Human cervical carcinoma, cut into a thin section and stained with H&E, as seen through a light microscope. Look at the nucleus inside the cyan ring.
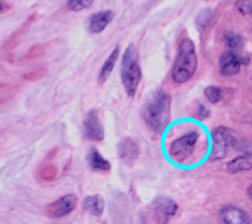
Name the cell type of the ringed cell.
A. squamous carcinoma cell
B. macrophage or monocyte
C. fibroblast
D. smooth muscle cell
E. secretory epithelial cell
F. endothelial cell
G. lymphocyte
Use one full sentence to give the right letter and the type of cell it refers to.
Option B, which has the ringed cell as a macrophage or monocyte, is the correct choice.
